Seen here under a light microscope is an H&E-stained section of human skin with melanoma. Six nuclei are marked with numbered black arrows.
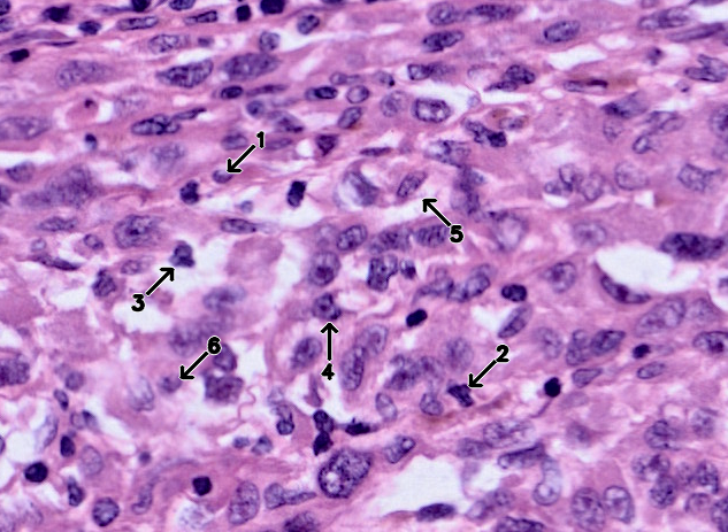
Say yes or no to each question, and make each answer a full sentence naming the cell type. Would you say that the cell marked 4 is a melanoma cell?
Yes, it is a melanoma cell that carries the number 4.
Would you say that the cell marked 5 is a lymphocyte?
No, the one with number 5 is a melanoma cell, not a lymphocyte.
